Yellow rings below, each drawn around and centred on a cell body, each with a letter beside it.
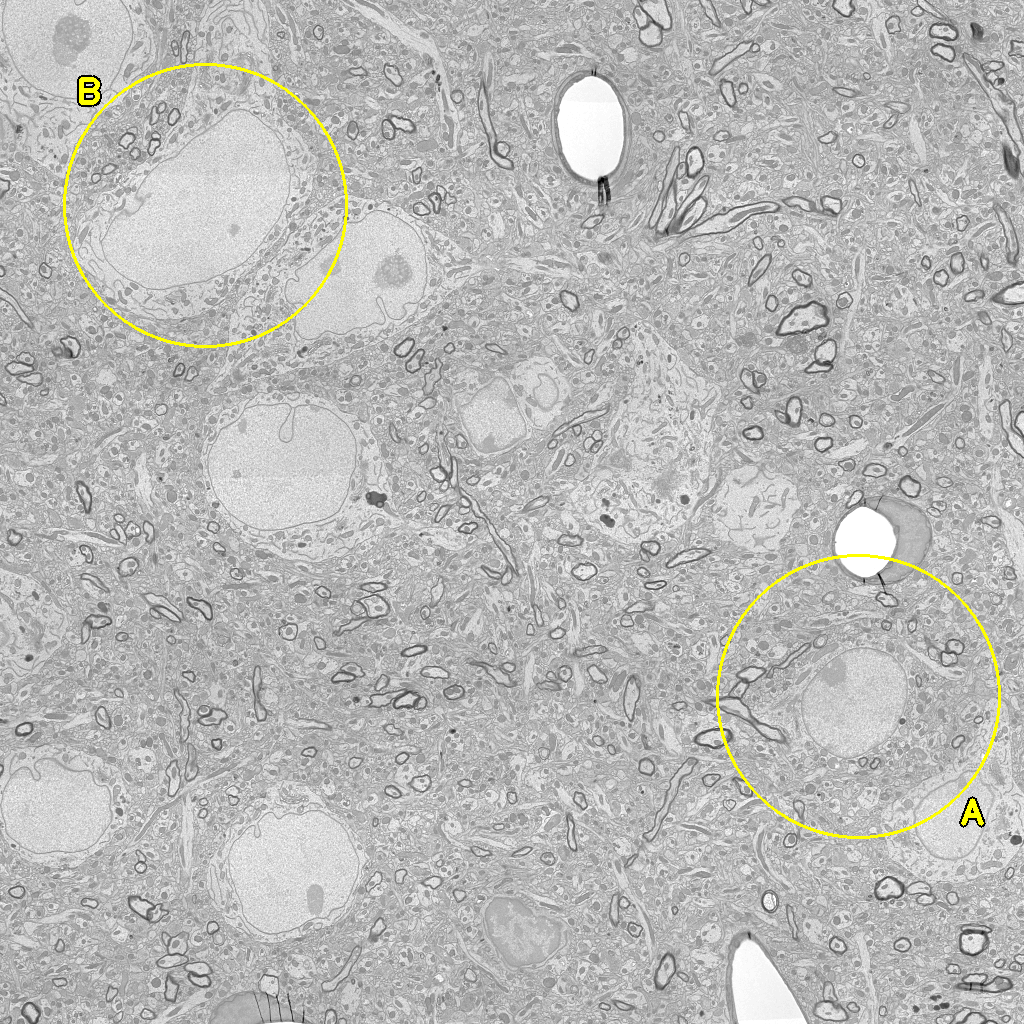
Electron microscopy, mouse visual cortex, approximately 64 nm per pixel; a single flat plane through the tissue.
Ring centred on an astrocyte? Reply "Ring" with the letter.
Ring A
